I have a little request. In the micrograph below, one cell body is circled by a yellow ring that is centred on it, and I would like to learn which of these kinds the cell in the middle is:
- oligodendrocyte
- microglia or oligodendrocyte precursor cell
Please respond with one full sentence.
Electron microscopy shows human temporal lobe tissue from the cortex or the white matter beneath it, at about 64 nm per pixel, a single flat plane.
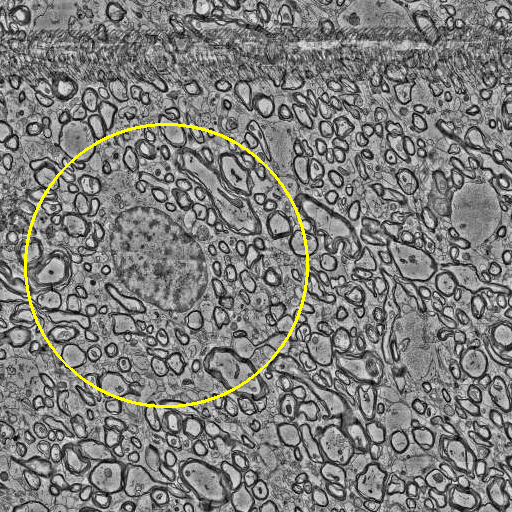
The cell sitting in the middle of the yellow ring in the micrograph is an oligodendrocyte.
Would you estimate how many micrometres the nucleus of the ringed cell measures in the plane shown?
The nucleus comes to roughly 7 by 5 micrometres in this plane.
